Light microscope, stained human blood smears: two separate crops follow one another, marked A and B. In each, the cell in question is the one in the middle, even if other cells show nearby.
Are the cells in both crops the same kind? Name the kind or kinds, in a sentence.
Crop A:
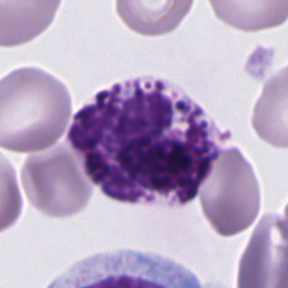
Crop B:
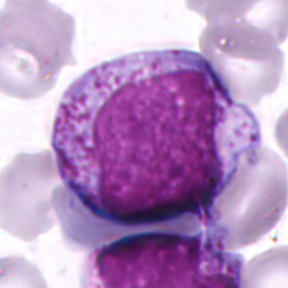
No, look again: crop A shows a basophil, and crop B shows a promyelocyte.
